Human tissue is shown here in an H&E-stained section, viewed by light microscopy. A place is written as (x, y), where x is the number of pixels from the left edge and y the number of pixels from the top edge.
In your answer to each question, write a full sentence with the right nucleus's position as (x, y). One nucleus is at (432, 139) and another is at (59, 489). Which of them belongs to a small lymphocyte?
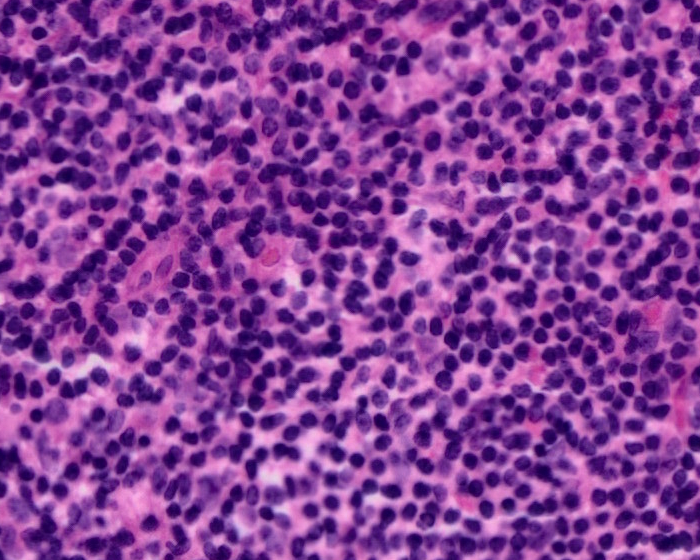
Of the pair, the nucleus located at (59, 489) belongs to a small lymphocyte.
